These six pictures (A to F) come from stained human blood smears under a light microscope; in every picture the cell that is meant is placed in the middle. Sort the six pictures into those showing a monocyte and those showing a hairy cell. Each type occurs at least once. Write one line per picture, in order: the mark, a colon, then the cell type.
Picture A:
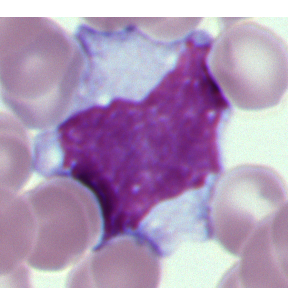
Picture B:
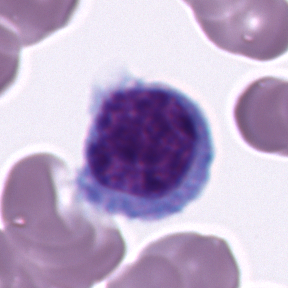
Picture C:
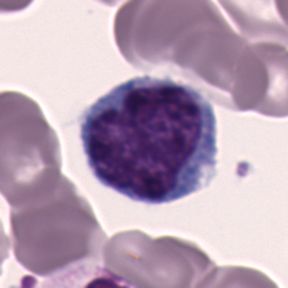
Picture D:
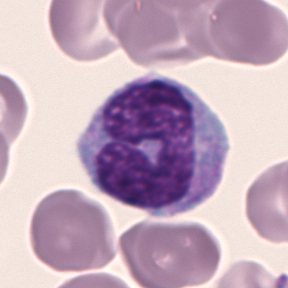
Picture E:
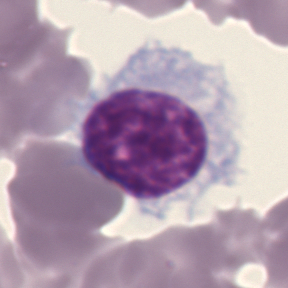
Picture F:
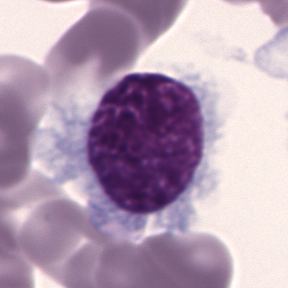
A: monocyte
B: monocyte
C: monocyte
D: monocyte
E: hairy cell
F: hairy cell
